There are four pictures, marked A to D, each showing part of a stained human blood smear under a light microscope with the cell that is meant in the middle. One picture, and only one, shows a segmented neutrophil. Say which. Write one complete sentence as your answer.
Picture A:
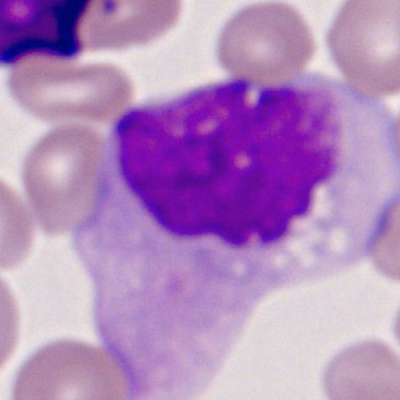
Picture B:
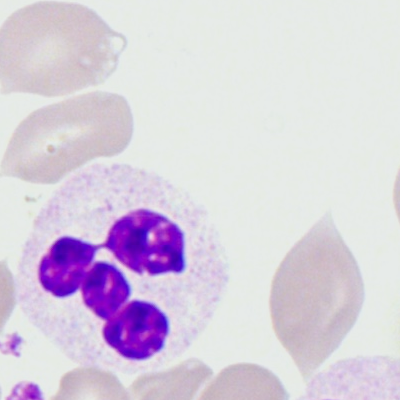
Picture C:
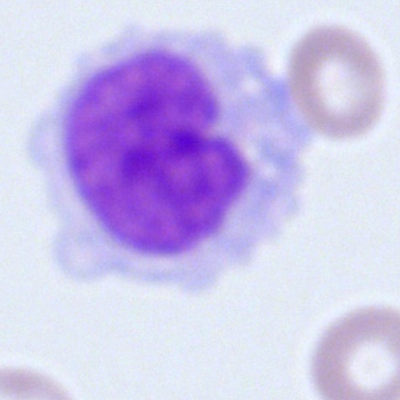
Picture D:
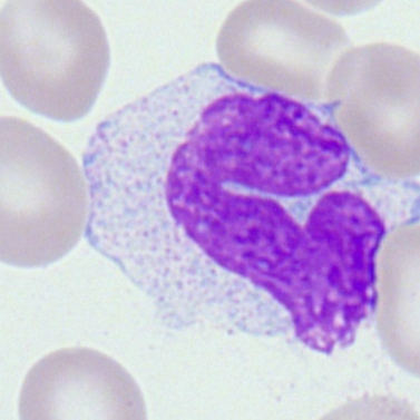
It is picture B that shows the segmented neutrophil.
